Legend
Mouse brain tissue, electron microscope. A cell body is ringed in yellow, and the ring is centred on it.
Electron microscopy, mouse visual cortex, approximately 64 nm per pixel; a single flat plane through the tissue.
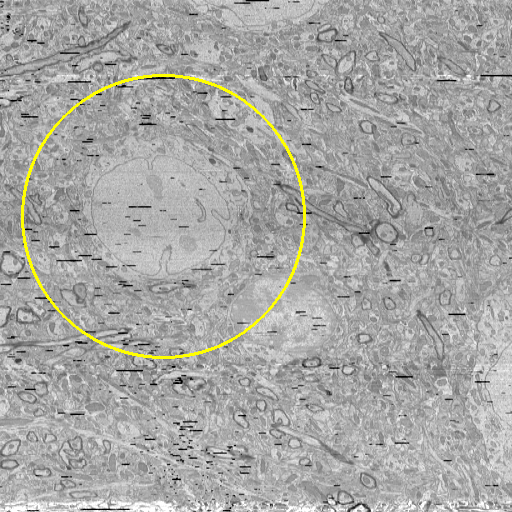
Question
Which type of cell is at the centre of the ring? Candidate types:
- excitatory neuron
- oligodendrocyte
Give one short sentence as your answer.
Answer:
The yellow ring is centred here on an excitatory neuron.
